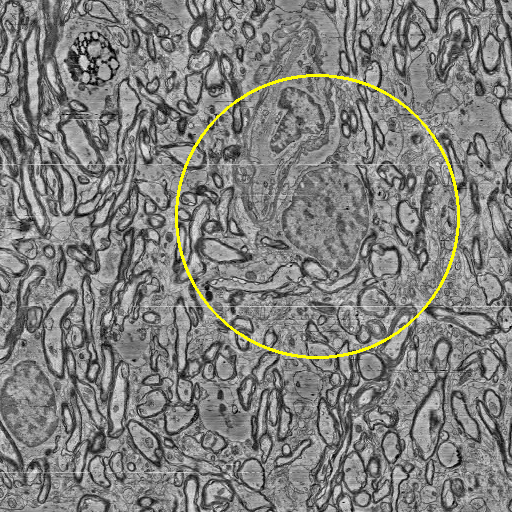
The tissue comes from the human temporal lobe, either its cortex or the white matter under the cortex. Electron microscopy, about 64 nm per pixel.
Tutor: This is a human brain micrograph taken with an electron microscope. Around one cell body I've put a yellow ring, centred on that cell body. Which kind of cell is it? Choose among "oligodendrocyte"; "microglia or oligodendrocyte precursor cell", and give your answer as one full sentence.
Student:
Going by your list, the cell centred in the yellow ring is an oligodendrocyte.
